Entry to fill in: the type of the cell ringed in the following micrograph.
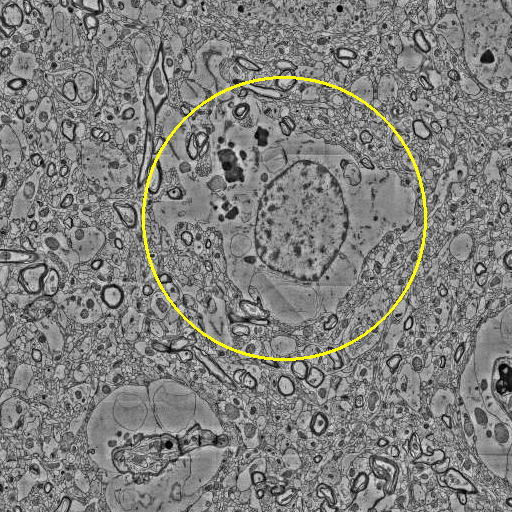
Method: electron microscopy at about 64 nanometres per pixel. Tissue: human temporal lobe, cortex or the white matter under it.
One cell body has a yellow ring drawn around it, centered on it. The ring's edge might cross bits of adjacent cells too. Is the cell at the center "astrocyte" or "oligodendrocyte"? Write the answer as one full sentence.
This entry names an astrocyte as the cell whose body lies at the ring's center.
